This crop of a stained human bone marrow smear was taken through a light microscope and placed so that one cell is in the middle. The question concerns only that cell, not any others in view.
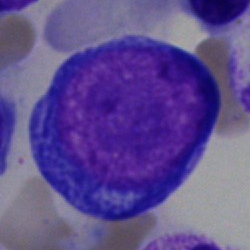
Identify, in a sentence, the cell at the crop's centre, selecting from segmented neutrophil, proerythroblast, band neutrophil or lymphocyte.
As for the central cell, it is a proerythroblast.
